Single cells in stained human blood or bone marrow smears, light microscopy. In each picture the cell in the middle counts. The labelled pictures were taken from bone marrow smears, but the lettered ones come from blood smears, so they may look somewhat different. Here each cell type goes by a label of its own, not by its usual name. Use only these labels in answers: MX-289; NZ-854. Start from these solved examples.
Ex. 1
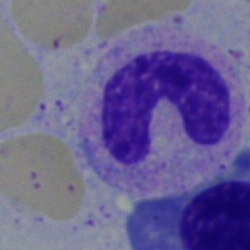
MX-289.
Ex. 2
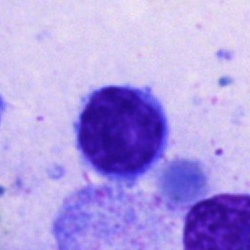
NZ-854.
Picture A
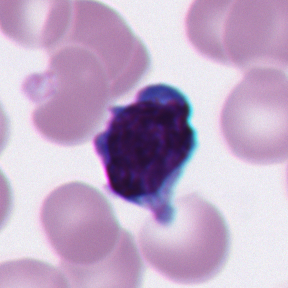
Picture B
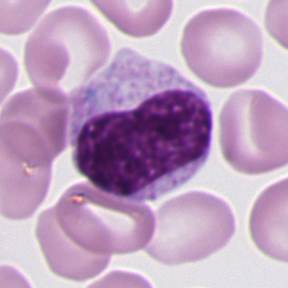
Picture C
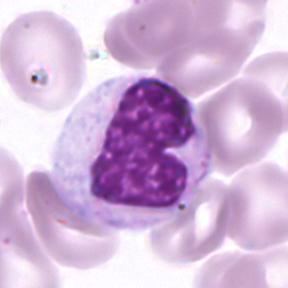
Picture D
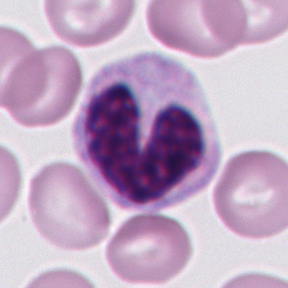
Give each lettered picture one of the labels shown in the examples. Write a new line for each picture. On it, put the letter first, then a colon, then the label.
A: NZ-854.
B: MX-289.
C: MX-289.
D: MX-289.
